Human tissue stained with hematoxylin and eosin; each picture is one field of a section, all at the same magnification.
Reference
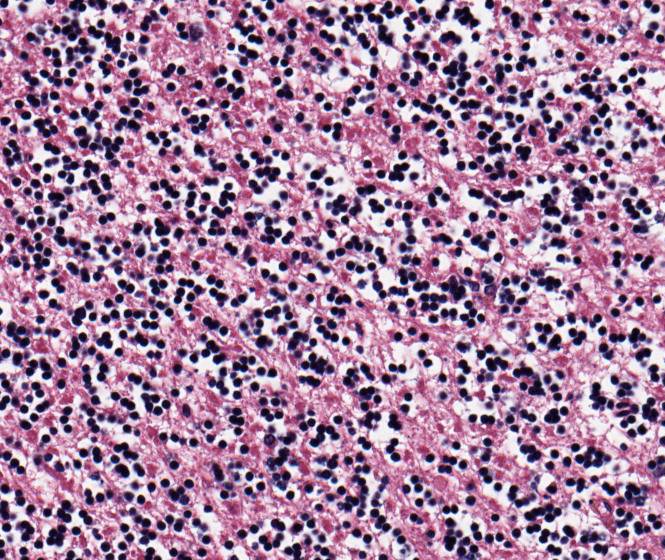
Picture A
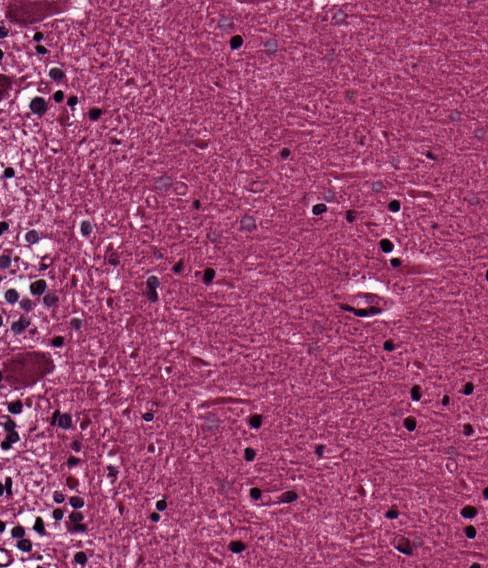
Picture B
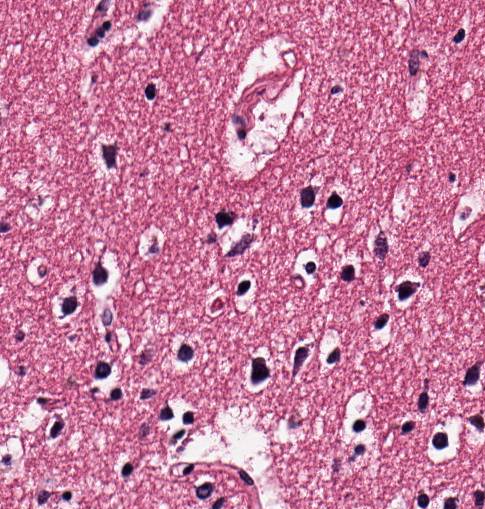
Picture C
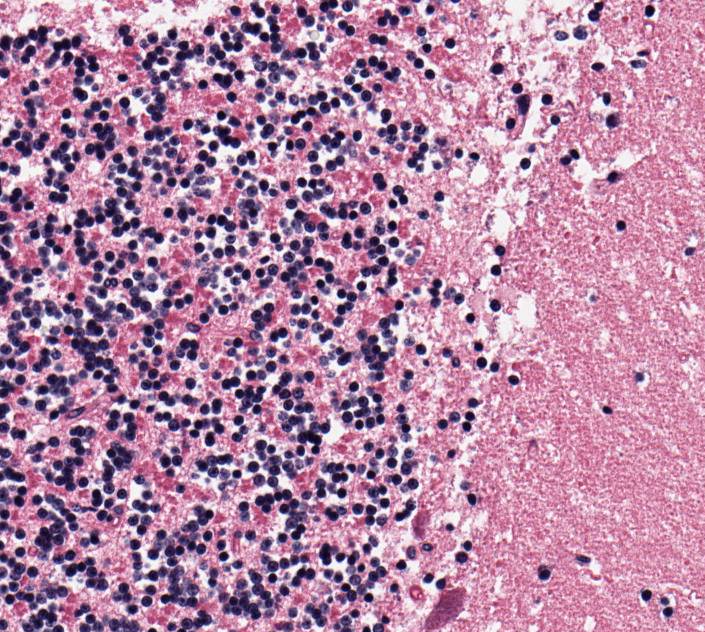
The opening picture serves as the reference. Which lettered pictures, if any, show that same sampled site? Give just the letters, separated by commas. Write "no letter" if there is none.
A, C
